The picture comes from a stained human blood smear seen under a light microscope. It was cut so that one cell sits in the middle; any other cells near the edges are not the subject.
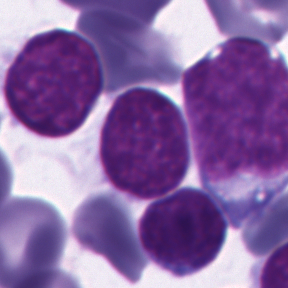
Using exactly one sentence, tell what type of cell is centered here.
This crop is built around a myeloblast at its centre.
